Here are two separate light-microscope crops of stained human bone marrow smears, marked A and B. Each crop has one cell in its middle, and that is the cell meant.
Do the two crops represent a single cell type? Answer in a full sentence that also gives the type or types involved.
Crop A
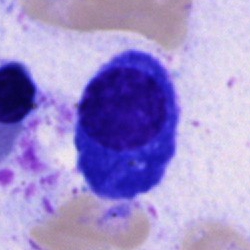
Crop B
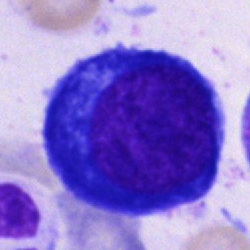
No, a proerythroblast is in crop B, and a plasma cell is in crop A.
